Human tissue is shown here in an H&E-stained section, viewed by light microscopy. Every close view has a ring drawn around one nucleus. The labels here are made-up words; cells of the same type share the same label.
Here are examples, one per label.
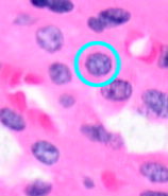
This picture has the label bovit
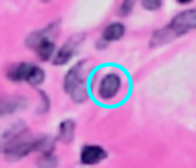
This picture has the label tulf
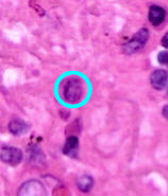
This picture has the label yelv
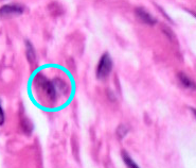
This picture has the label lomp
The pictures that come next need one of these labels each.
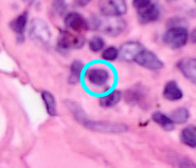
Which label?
tulf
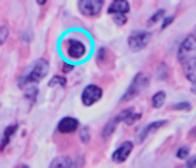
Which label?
tulf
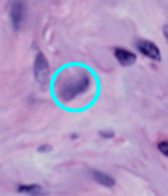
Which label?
lomp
